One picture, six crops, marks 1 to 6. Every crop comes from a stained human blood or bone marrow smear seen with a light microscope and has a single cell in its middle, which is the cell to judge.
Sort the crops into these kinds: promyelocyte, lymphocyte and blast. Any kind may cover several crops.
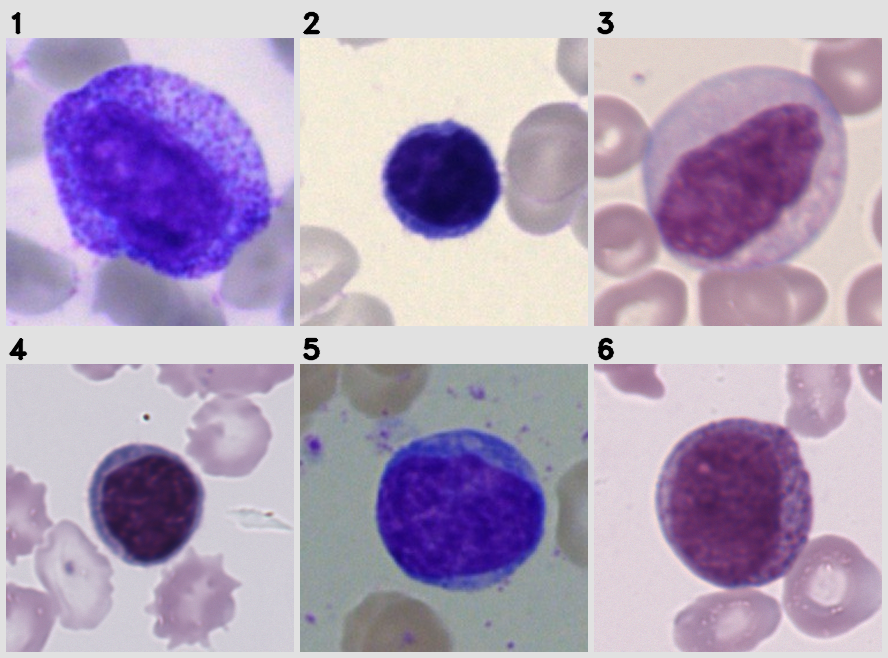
1: promyelocyte
2: lymphocyte
3: promyelocyte
4: lymphocyte
5: blast
6: promyelocyte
